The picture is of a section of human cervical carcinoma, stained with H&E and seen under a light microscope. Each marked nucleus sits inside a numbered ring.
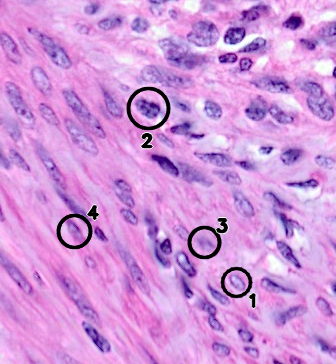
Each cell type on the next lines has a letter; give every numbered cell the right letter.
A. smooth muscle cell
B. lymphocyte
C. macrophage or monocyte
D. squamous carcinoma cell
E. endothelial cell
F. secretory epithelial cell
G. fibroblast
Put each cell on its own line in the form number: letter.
1: A
2: B
3: A
4: A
